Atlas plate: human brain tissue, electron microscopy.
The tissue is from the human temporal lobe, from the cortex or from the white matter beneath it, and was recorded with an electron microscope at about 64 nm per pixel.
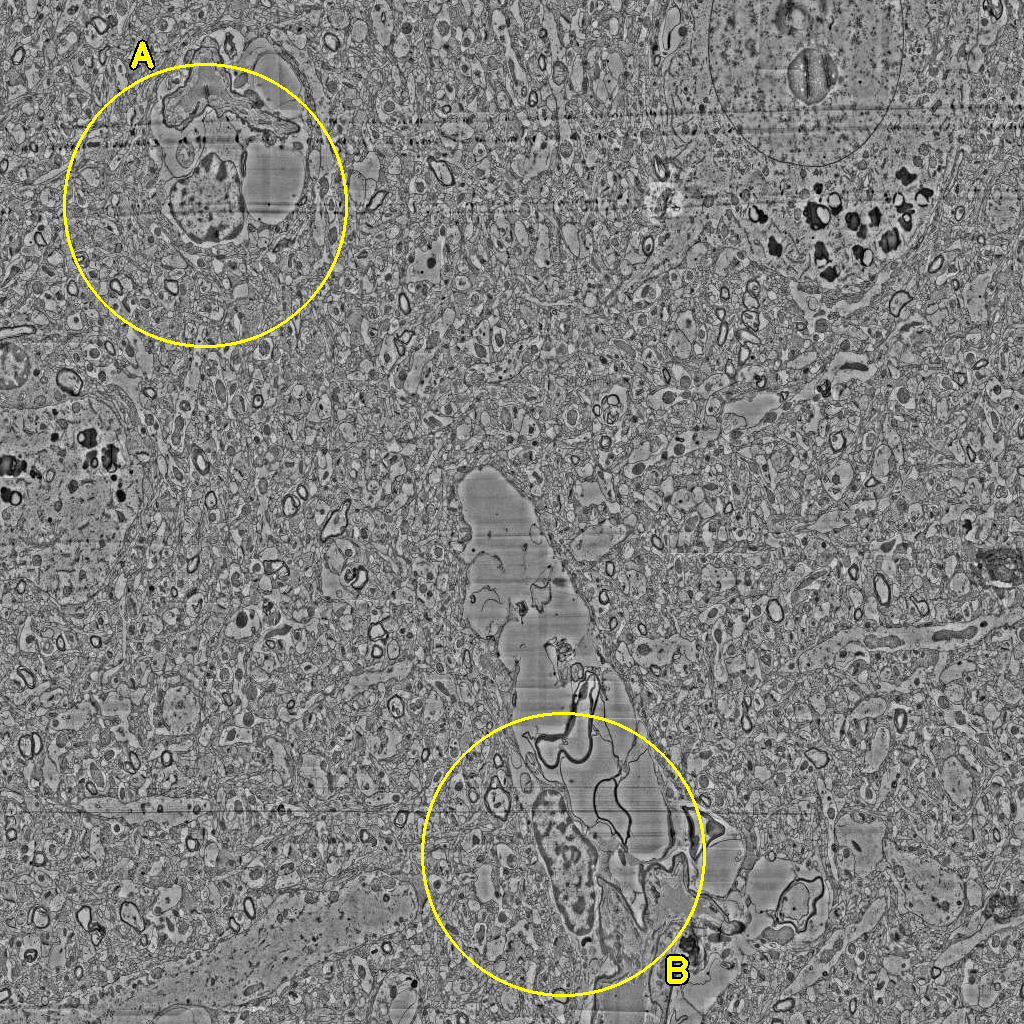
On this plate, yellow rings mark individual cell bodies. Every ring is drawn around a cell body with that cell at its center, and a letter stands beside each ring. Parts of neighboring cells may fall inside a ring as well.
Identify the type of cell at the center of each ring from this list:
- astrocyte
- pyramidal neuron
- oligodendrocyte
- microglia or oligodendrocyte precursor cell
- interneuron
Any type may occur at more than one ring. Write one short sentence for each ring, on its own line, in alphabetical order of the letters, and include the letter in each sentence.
At the center of ring A lies a microglial cell or oligodendrocyte precursor cell.
At the center of ring B lies a microglial cell or oligodendrocyte precursor cell.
